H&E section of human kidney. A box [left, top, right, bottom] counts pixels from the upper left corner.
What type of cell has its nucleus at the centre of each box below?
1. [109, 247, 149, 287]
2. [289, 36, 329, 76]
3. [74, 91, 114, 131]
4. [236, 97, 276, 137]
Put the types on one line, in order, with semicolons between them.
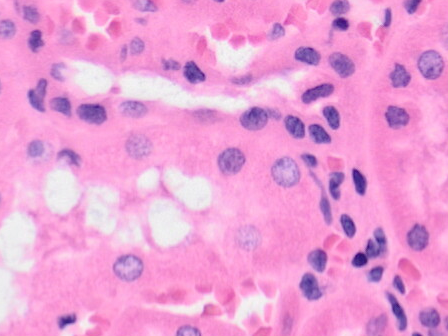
proximal tubule cell; collecting duct cell; collecting duct cell; collecting duct cell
